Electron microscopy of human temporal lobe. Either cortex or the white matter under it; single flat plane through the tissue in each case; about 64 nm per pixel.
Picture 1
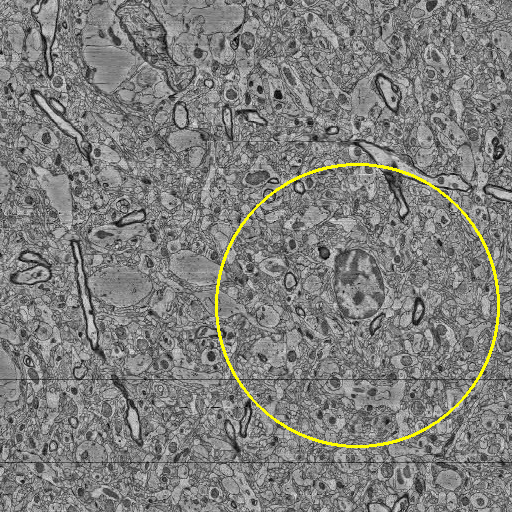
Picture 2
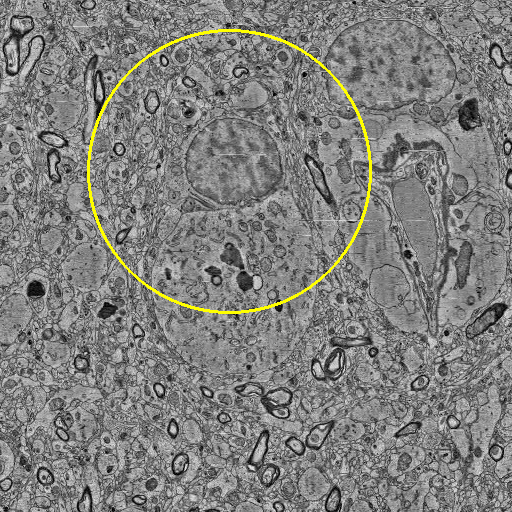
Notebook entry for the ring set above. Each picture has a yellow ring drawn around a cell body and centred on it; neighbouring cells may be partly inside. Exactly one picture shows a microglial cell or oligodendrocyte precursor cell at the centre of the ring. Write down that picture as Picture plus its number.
Picture 1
